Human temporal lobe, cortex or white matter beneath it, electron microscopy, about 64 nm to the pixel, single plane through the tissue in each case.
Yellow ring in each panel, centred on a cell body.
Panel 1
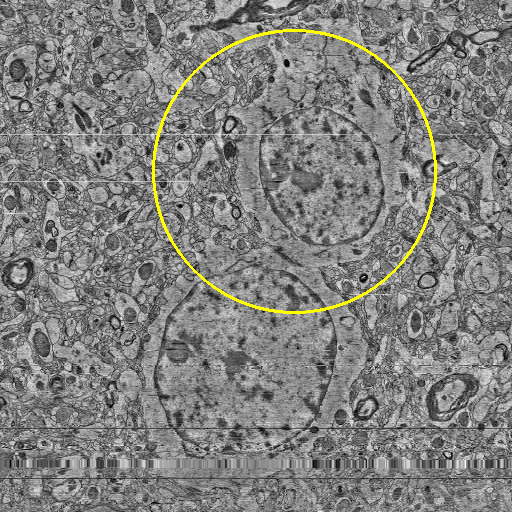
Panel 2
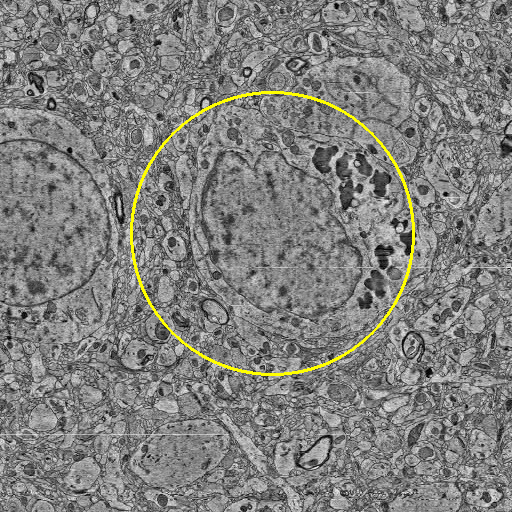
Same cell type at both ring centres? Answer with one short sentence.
No, the two cells are of two types.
